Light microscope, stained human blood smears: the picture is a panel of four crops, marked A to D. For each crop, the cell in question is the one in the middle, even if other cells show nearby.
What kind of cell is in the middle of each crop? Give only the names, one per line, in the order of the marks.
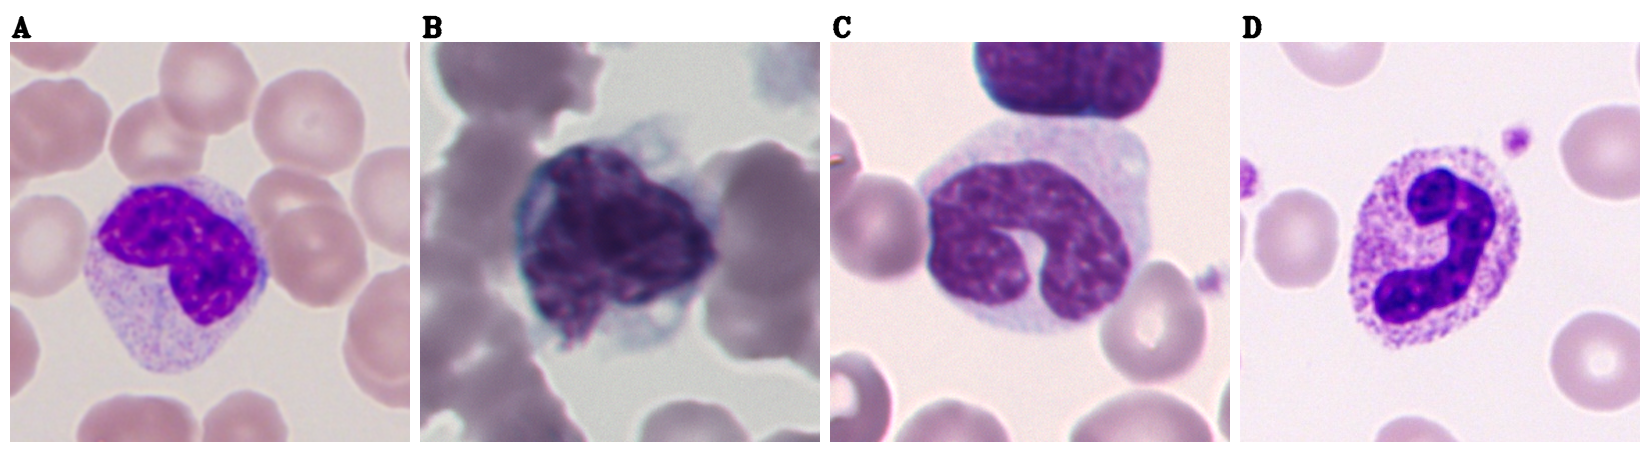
band neutrophil
monocyte
band neutrophil
band neutrophil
